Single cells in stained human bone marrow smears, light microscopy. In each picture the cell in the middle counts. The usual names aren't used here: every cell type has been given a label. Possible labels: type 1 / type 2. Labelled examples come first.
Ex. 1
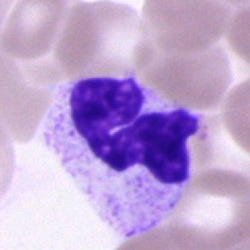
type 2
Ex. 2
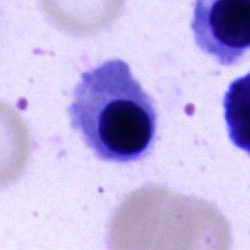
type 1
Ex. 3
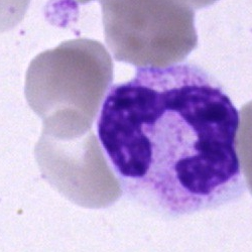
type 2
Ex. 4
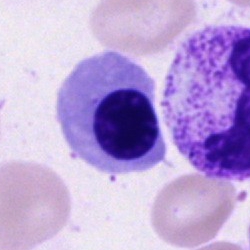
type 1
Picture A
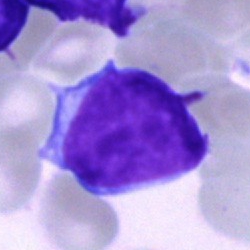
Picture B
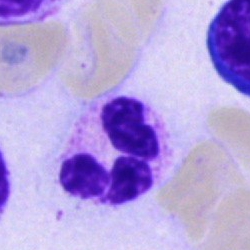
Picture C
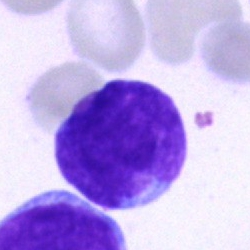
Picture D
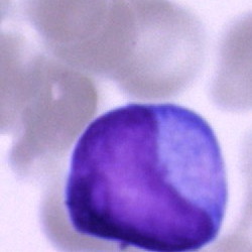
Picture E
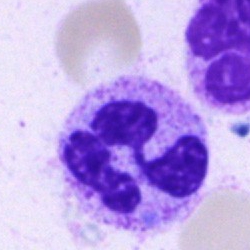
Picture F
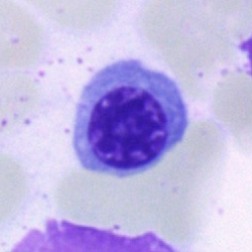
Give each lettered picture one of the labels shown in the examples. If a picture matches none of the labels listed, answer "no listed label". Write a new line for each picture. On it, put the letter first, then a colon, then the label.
A: no listed label
B: type 2
C: no listed label
D: no listed label
E: type 2
F: type 1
